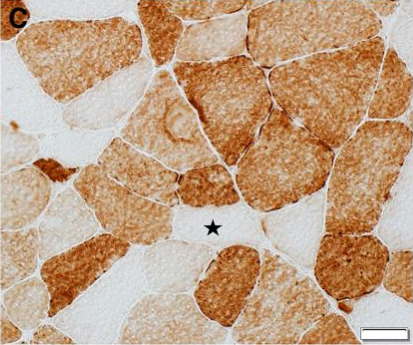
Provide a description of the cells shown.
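Cross-section of skeletal muscle in which the polygonal fibres form a mosaic of light and dark brown, with a fine granular texture. The starred fibre stands out as almost colourless, with no brown reaction, among stained neighbours.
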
